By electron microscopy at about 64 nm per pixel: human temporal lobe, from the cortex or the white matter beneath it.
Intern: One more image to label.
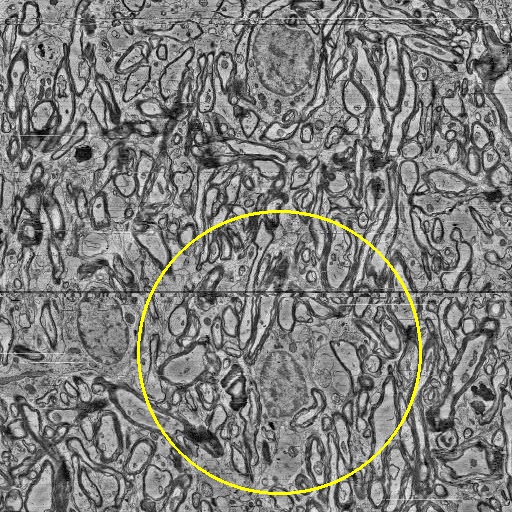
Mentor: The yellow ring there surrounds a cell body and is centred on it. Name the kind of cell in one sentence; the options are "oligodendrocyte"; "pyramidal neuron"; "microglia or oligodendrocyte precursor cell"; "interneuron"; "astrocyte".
The ring marks the cell body of an oligodendrocyte.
